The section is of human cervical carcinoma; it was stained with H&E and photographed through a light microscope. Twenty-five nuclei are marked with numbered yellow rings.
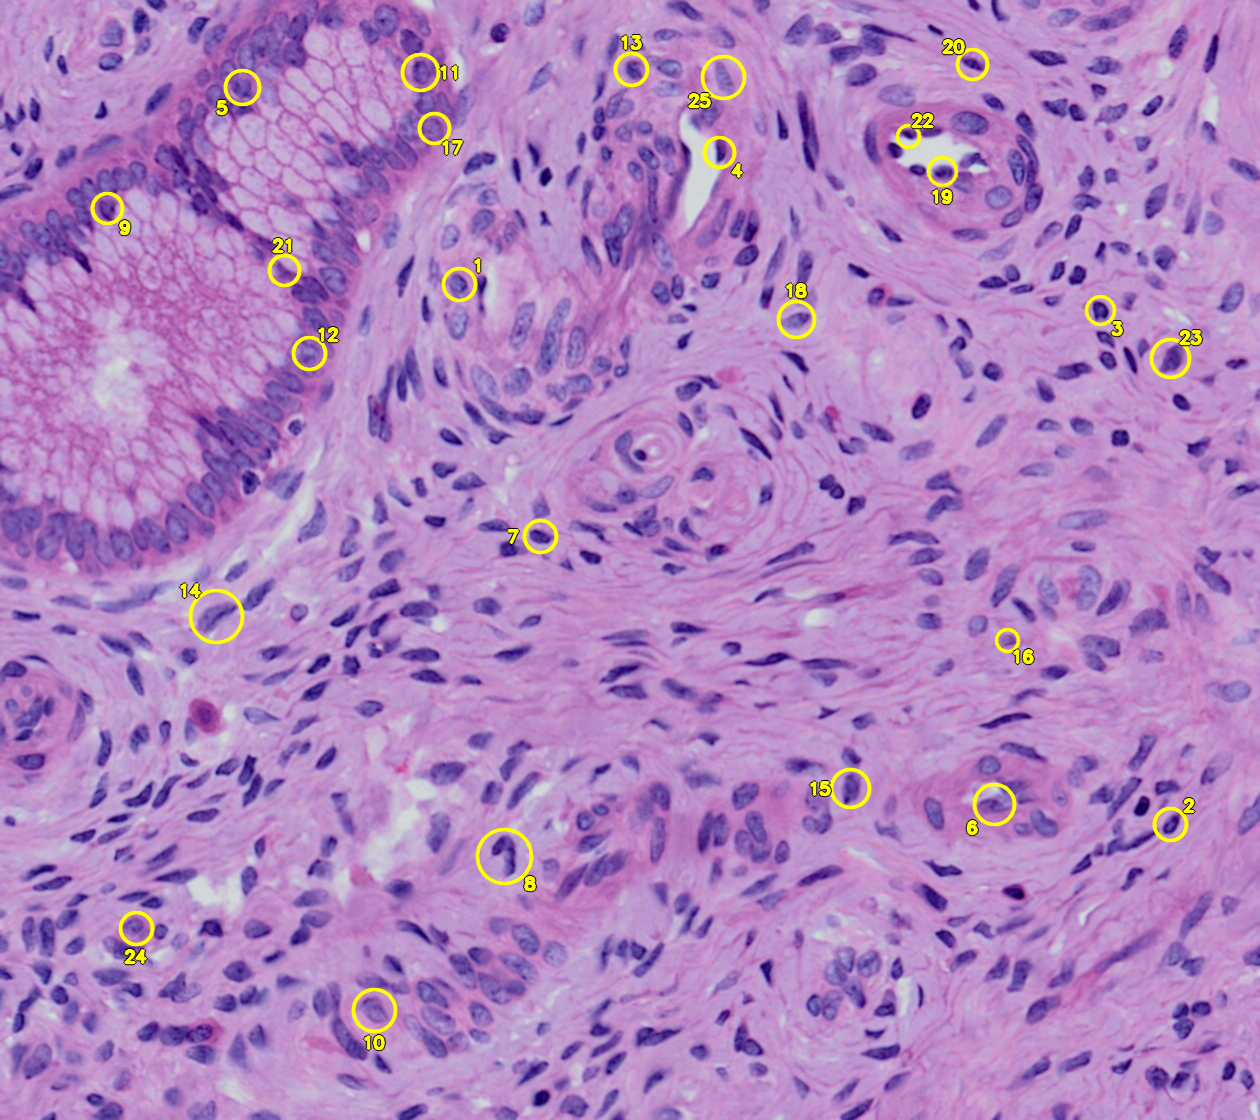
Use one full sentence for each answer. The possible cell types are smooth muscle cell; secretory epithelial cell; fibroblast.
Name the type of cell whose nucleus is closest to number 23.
The cell nearest to number 23 is a fibroblast.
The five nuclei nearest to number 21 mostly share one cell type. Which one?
Secretory epithelial cells make up most of the five nuclei closest to number 21.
